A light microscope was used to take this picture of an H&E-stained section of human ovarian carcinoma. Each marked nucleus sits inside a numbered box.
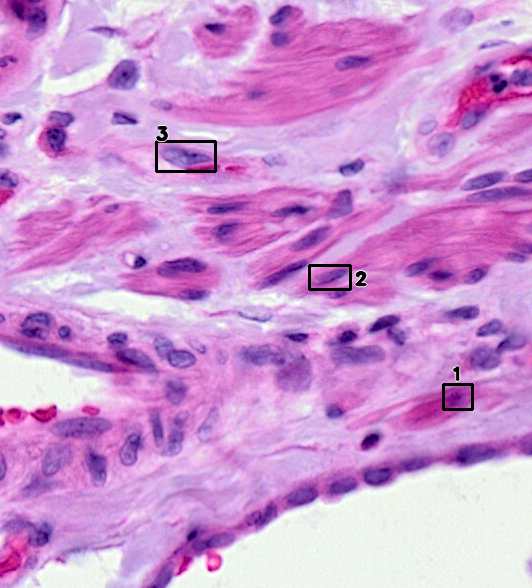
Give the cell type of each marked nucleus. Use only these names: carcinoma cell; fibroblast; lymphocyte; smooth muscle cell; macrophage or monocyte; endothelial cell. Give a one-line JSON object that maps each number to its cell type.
{"1": "smooth muscle cell", "2": "smooth muscle cell", "3": "endothelial cell"}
